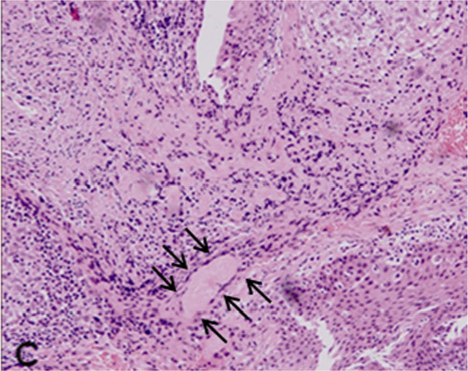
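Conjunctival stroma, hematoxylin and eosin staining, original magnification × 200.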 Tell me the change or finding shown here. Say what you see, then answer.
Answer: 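Noncaseating granulomas. Dense clusters of pale pink cells with oval, lightly stained nuclei. No necrotic center within the cell clusters. Small dark round cells crowd between and around the clusters.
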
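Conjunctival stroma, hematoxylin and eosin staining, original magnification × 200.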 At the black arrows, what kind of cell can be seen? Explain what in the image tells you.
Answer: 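Multinucleated giant cells and epithelioid macrophages. The arrows ring an elongated pale pink structure.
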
